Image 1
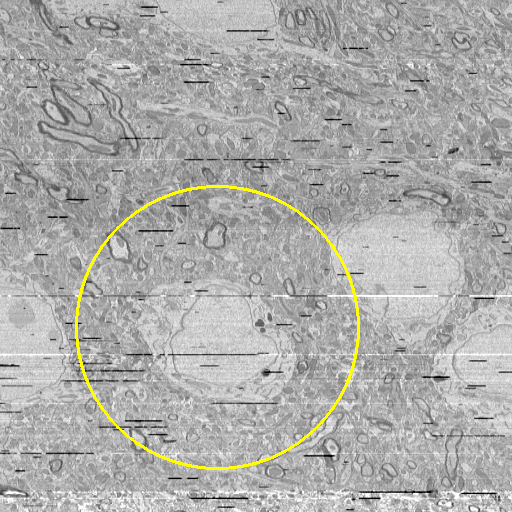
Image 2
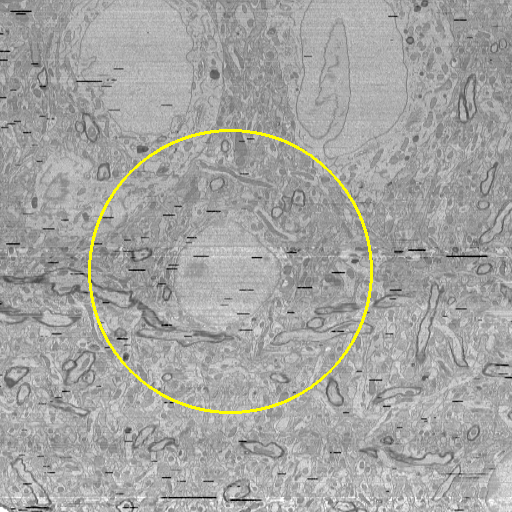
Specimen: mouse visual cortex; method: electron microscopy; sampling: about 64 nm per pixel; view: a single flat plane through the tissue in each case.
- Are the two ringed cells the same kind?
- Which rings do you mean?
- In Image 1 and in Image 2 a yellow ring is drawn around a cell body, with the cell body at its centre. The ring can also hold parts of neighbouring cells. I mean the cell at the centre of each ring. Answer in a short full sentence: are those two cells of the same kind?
No, the cells are of two kinds.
